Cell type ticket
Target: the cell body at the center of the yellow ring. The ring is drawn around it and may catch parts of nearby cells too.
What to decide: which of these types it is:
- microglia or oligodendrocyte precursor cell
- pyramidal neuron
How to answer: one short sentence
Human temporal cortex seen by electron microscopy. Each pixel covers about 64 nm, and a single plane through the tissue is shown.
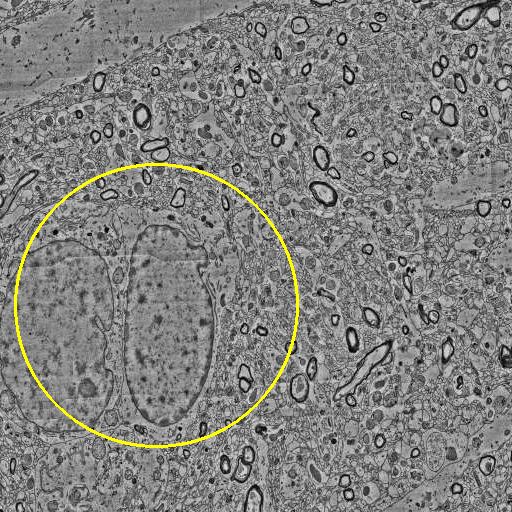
The cell at the center of the ring is a microglial cell or oligodendrocyte precursor cell.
